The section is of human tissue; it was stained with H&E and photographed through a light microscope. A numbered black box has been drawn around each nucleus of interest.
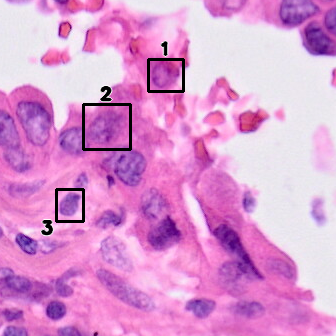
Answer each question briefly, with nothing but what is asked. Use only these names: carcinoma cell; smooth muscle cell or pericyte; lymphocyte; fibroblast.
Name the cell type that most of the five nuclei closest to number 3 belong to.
fibroblast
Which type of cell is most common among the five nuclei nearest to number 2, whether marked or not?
carcinoma cell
